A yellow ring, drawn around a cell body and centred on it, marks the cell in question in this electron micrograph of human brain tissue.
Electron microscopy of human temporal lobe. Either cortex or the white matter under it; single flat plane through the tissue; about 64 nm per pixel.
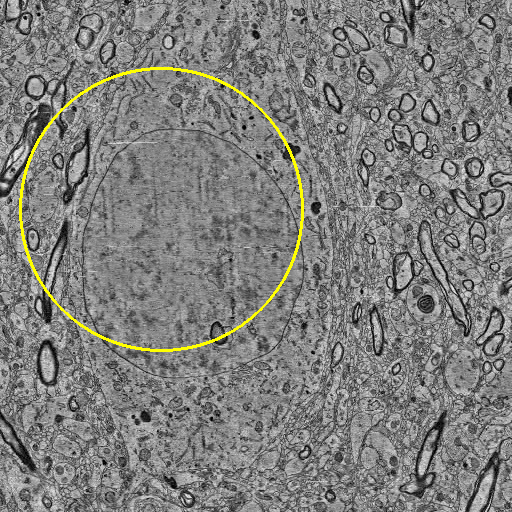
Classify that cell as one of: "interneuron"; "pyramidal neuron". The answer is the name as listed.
pyramidal neuron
